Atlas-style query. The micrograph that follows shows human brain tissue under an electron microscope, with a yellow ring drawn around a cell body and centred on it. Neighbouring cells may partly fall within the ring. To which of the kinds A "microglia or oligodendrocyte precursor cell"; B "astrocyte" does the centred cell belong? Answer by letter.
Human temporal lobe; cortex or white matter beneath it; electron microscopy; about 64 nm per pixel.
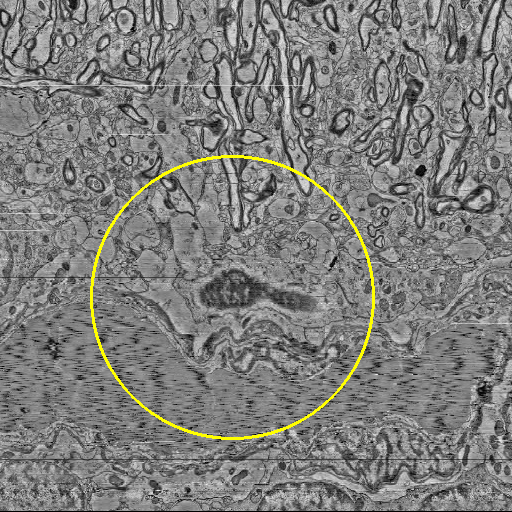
A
